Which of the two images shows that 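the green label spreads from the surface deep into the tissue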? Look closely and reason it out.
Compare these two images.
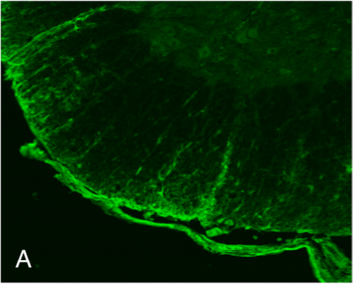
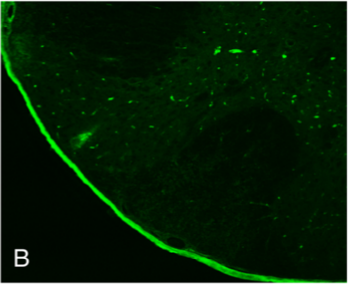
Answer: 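The first image. Second image: green is concentrated in a sharp line along the outer surface, with only scattered small dots inside. First image: green fills the tissue diffusely near the surface and extends inward along radial strands.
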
